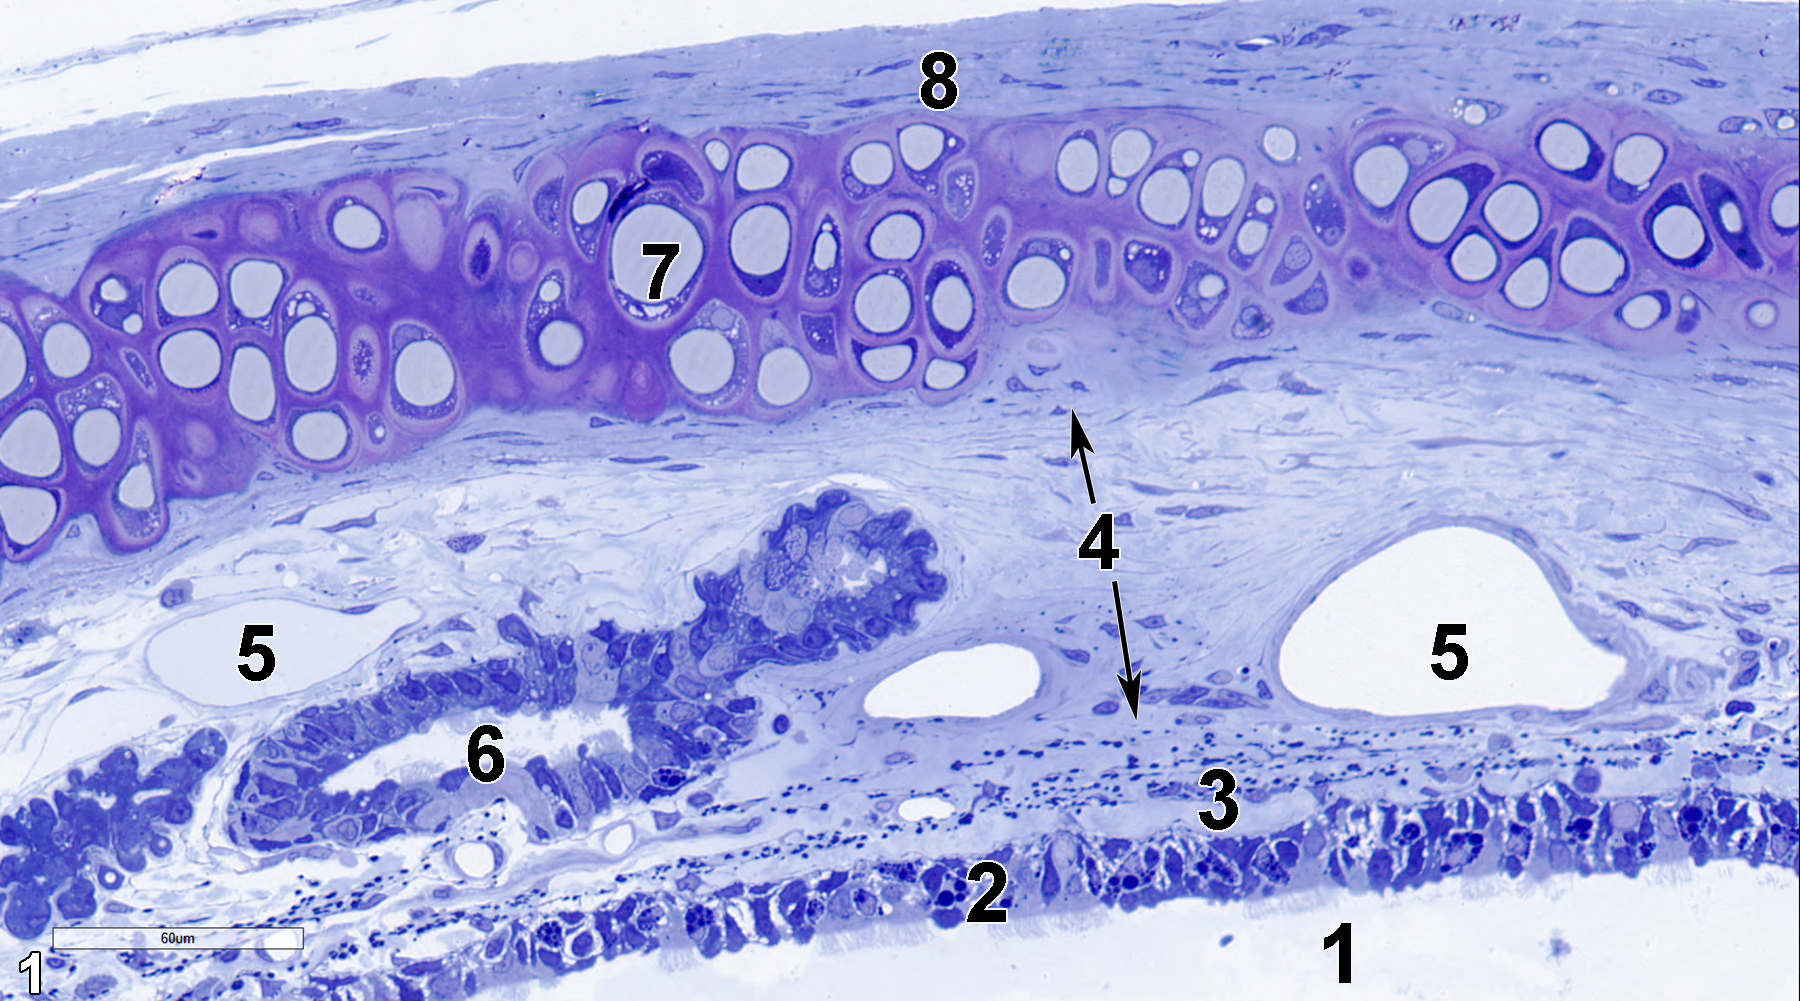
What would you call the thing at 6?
Submucosal glands.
